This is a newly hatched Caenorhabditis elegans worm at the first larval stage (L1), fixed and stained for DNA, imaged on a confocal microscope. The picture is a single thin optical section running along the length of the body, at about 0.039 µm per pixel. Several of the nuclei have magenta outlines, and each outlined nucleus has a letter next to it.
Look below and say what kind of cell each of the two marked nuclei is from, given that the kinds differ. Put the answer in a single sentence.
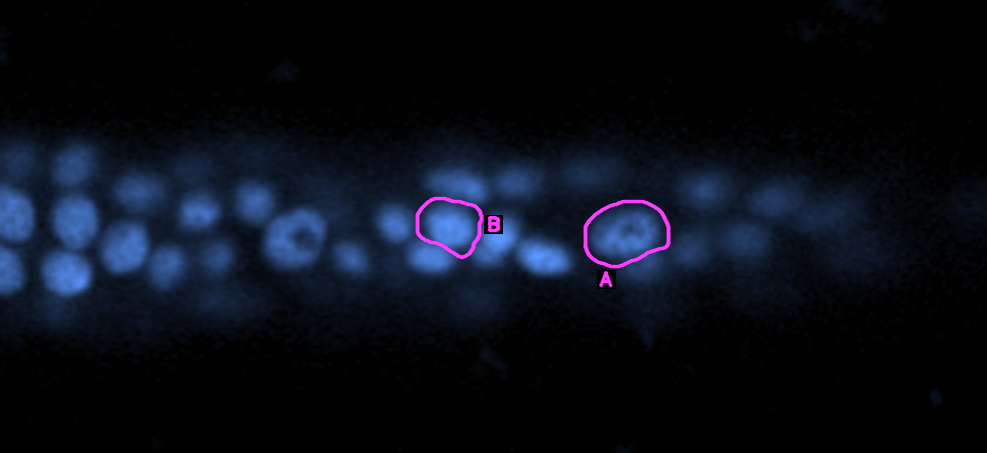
A is from a seam cell, and B is from a neuron.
